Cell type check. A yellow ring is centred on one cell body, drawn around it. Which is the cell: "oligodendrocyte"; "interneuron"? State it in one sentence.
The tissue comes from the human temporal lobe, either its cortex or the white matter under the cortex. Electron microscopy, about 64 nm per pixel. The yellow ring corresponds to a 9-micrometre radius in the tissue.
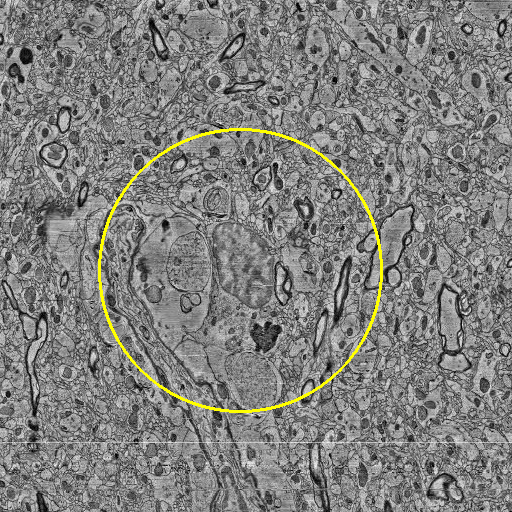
The cell body at the ring's centre belongs to an oligodendrocyte.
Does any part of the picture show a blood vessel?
Yes.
